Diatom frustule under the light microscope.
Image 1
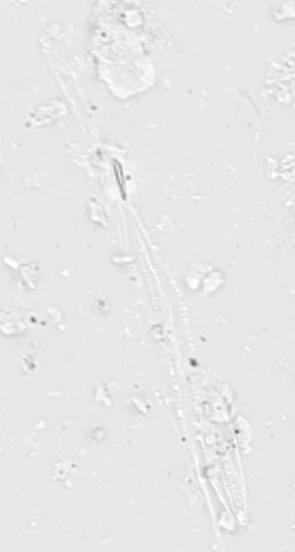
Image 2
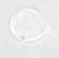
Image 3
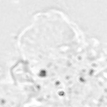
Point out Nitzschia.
That is picture 1.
